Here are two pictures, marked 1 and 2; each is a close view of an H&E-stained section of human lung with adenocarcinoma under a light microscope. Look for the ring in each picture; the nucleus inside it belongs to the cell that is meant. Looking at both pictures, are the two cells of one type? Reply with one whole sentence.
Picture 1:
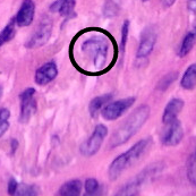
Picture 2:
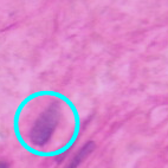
No, the types are not the same, since picture 1 shows a fibroblast and picture 2 a “smooth muscle cell or pericyte”.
